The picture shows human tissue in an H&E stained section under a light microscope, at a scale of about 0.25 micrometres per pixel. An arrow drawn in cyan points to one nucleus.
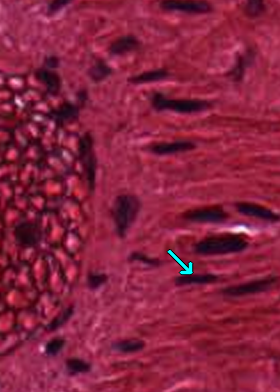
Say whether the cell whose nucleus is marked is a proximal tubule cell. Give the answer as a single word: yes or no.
no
